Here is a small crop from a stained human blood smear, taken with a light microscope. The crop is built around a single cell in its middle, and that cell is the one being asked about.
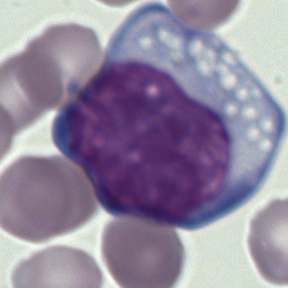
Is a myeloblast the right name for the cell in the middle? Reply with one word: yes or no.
yes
